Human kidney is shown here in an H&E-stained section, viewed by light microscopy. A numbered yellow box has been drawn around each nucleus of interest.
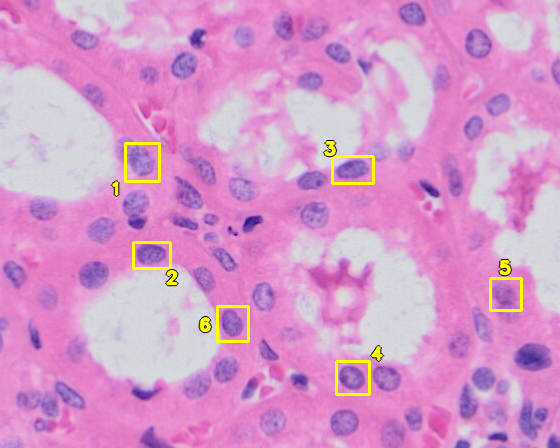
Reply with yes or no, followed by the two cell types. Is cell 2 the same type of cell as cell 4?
No; whereas cell 2 is a loop of Henle or distal tubule cell, cell 4 is a proximal tubule cell.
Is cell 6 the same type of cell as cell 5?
No, by type, cell 6 is a loop of Henle or distal tubule cell and cell 5 is a proximal tubule cell.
